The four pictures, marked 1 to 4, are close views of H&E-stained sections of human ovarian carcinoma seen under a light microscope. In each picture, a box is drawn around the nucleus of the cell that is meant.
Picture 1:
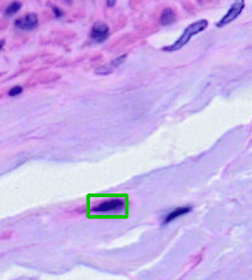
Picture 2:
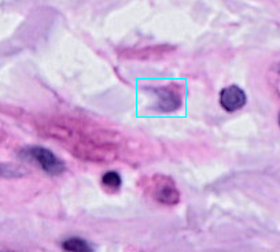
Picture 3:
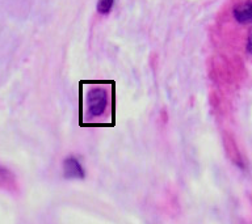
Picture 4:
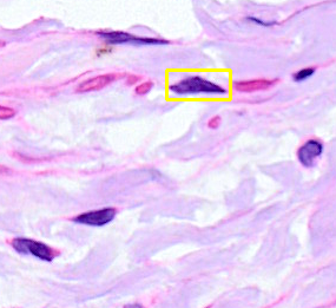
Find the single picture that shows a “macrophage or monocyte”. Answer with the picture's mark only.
3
